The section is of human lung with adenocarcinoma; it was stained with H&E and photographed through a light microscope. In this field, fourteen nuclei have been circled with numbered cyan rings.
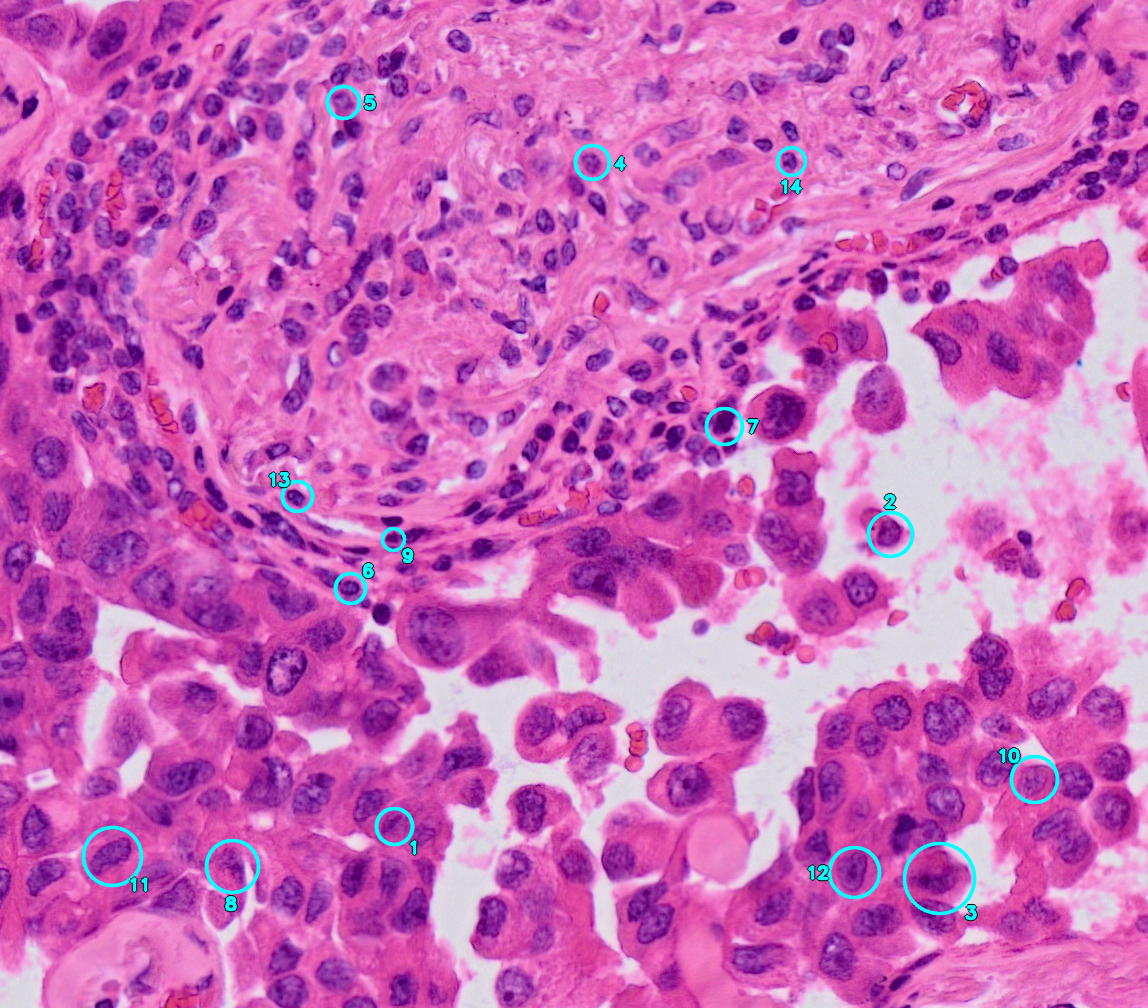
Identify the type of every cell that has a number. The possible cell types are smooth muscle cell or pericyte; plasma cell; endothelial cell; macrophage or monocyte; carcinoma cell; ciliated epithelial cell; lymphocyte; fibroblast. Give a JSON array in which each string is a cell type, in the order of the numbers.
["carcinoma cell", "macrophage or monocyte", "carcinoma cell", "plasma cell", "plasma cell", "lymphocyte", "lymphocyte", "carcinoma cell", "plasma cell", "carcinoma cell", "carcinoma cell", "carcinoma cell", "lymphocyte", "lymphocyte"]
